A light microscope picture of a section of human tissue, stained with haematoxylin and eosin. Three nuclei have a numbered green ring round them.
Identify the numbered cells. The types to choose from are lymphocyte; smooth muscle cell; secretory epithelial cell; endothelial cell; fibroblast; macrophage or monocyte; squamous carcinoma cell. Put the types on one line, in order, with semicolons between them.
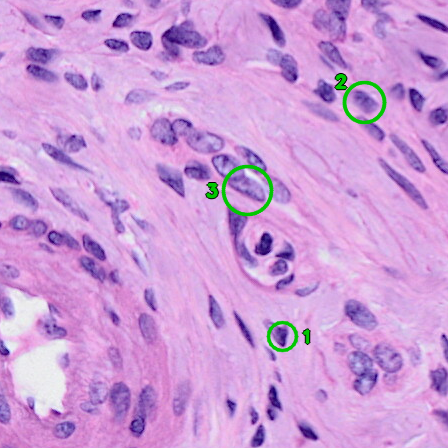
fibroblast; fibroblast; endothelial cell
